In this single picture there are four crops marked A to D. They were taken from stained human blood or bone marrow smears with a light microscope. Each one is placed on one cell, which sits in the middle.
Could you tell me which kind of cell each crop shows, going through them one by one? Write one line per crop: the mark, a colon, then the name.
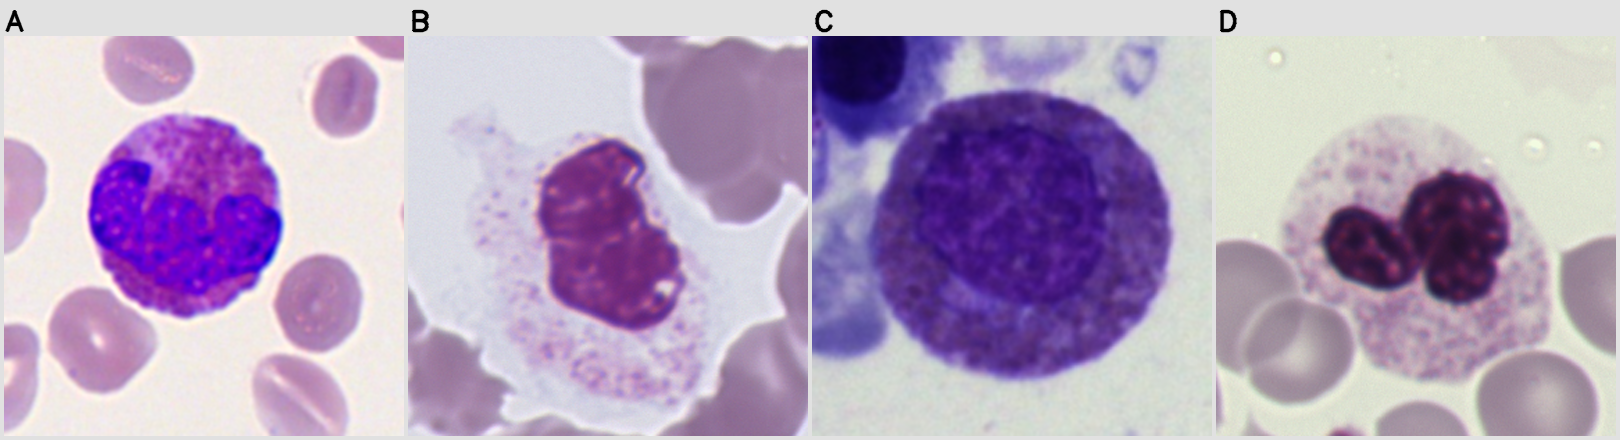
A: eosinophil
B: neutrophil
C: eosinophil
D: neutrophil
